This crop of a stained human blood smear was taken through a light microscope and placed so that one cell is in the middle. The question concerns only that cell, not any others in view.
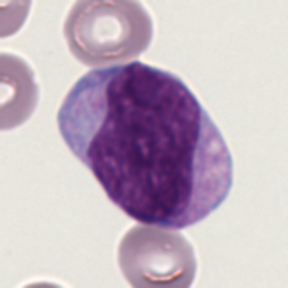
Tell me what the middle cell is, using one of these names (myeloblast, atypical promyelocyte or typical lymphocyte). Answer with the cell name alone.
atypical promyelocyte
